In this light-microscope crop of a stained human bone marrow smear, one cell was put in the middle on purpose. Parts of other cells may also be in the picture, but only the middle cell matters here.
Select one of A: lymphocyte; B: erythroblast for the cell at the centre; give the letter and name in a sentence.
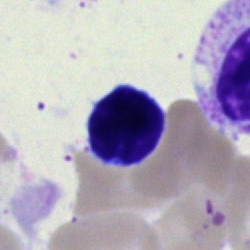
In the centre of the crop there is a lymphocyte, making option A correct.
